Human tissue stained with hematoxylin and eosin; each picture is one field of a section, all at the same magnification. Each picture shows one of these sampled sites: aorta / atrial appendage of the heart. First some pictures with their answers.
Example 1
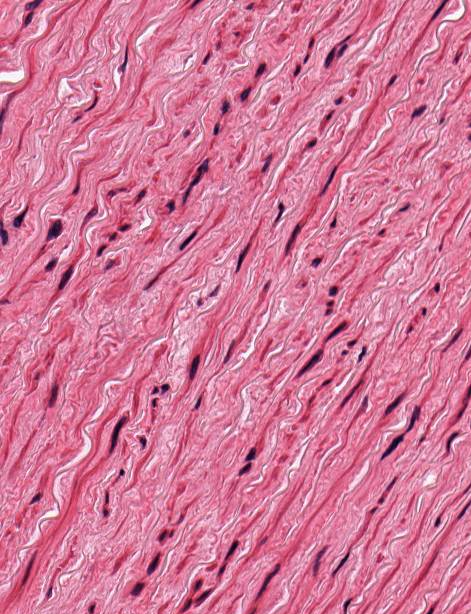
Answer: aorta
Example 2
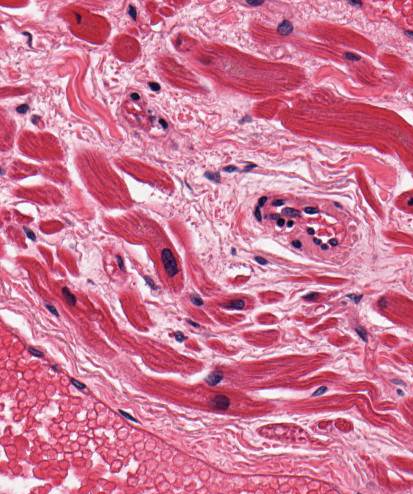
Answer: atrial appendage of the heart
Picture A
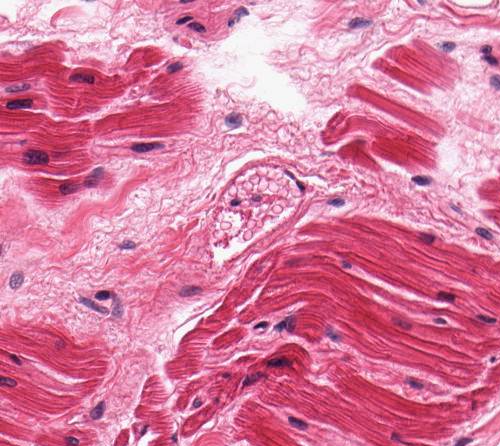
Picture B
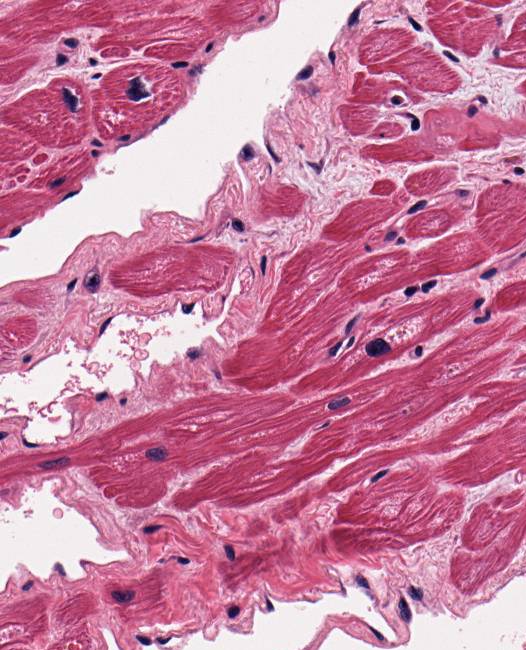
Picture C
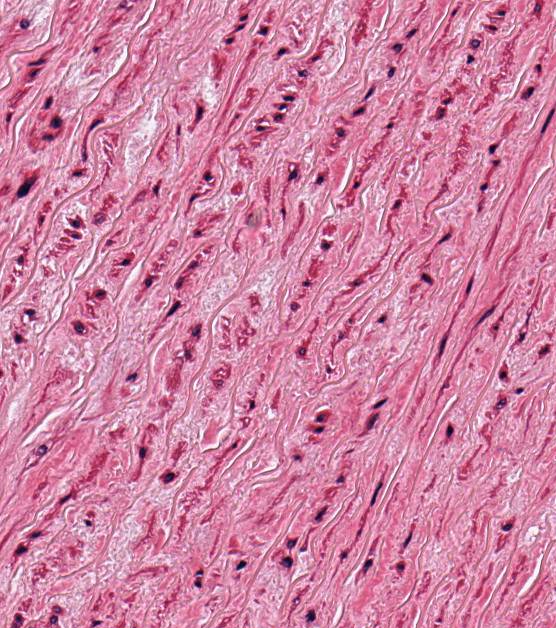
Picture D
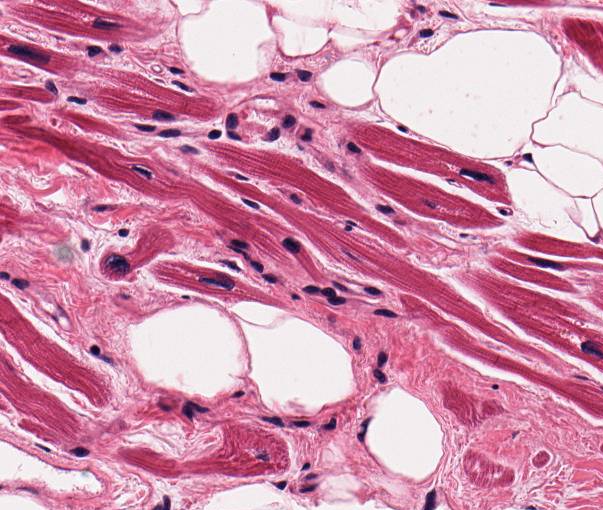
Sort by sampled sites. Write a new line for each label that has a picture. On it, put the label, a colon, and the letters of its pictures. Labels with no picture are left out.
aorta: C
atrial appendage of the heart: A, B, D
